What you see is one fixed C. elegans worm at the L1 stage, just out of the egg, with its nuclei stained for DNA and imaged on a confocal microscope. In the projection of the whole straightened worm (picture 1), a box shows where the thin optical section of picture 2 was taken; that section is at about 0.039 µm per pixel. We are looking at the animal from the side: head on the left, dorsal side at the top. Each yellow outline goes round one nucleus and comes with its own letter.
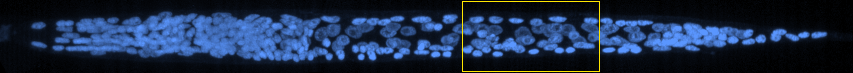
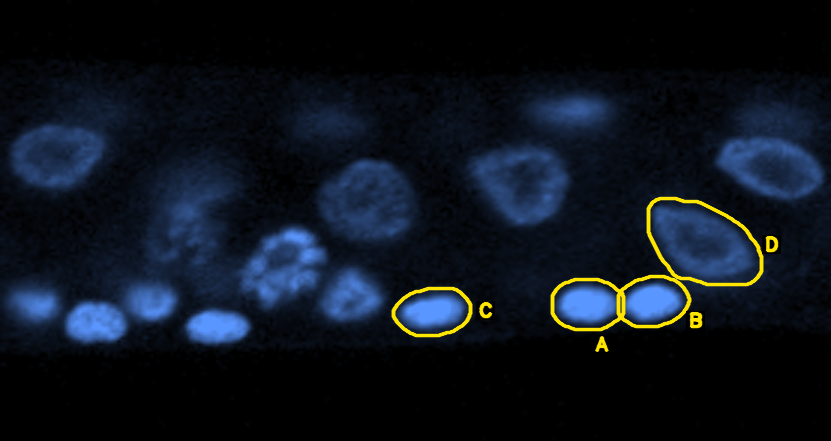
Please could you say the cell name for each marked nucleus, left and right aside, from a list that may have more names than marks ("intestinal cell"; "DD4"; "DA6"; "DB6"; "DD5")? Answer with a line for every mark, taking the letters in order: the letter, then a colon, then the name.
A: DB6
B: DA6
C: DD4
D: intestinal cell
